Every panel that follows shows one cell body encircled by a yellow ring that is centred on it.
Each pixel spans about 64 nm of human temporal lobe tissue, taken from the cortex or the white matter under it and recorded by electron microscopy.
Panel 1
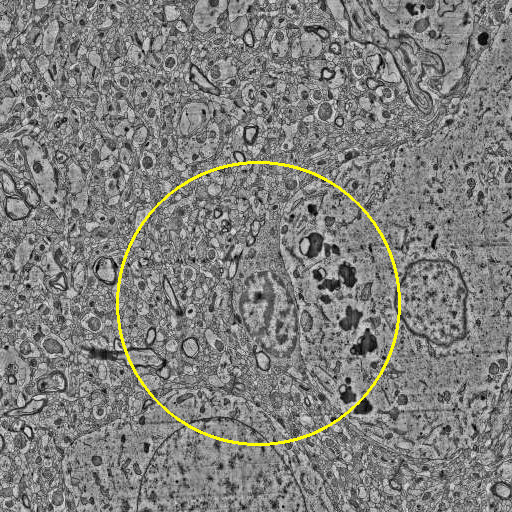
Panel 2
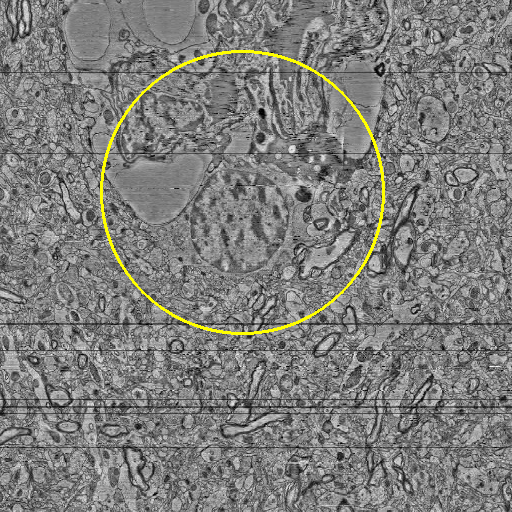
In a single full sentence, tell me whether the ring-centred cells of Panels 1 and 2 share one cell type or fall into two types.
In Panel 1 and Panel 2, the cells at the ring centres share one cell type.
